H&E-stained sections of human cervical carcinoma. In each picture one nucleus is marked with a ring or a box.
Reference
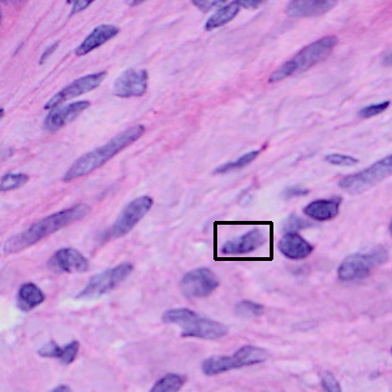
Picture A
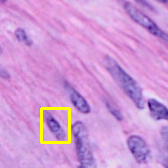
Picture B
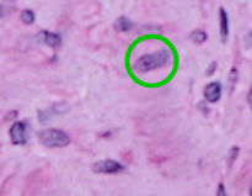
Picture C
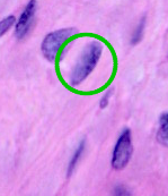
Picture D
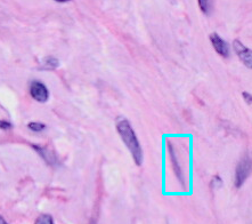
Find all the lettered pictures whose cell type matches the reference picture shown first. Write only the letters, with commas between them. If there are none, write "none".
C, D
